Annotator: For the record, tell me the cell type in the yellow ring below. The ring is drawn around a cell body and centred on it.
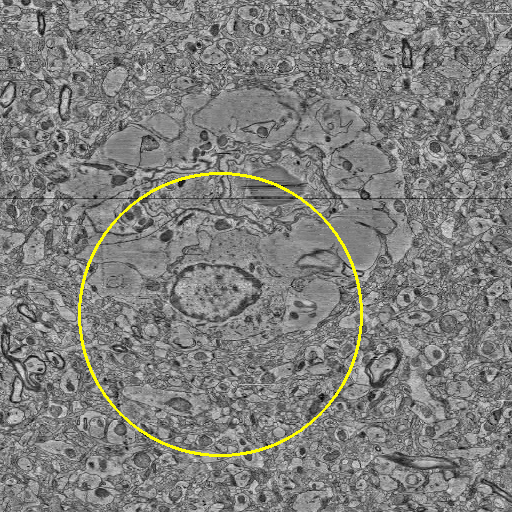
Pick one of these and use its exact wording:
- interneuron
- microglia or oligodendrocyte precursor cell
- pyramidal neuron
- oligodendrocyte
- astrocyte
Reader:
microglia or oligodendrocyte precursor cell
